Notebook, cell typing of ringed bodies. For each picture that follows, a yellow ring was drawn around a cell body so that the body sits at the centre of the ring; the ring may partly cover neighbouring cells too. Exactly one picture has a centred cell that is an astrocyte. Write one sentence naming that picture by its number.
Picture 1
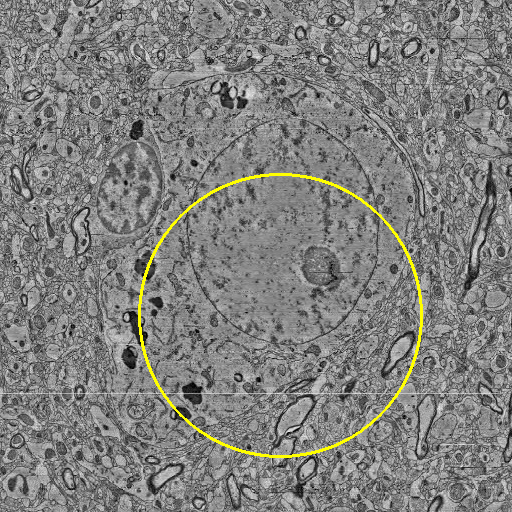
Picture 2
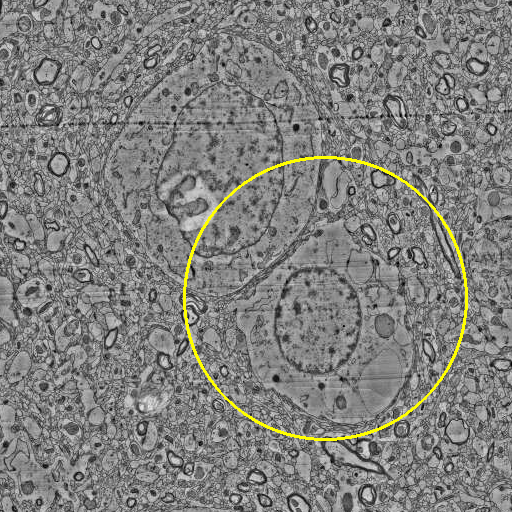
Picture 2 is the one with it at the centre of its ring.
